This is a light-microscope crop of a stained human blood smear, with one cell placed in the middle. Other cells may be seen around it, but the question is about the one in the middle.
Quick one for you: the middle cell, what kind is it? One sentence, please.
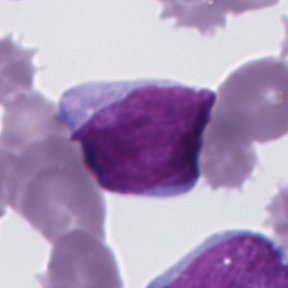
Centrally within this crop lies a myeloblast.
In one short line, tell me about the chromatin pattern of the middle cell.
The chromatin is fine, with no coarse clumping anywhere.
